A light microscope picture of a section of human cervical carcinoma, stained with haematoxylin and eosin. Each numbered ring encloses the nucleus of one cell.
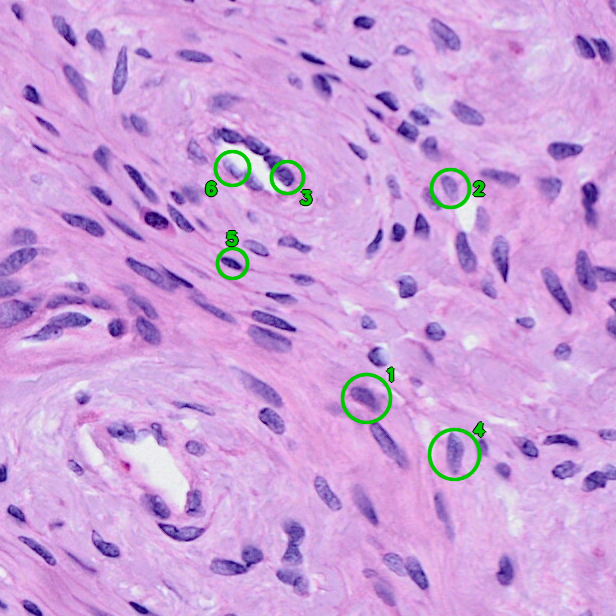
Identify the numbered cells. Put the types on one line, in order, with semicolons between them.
fibroblast; fibroblast; endothelial cell; fibroblast; fibroblast; endothelial cell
